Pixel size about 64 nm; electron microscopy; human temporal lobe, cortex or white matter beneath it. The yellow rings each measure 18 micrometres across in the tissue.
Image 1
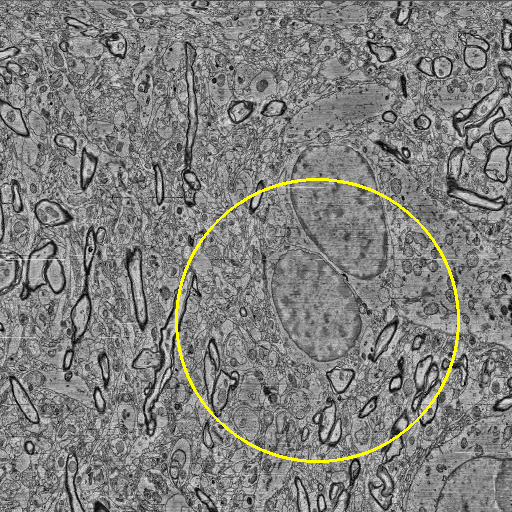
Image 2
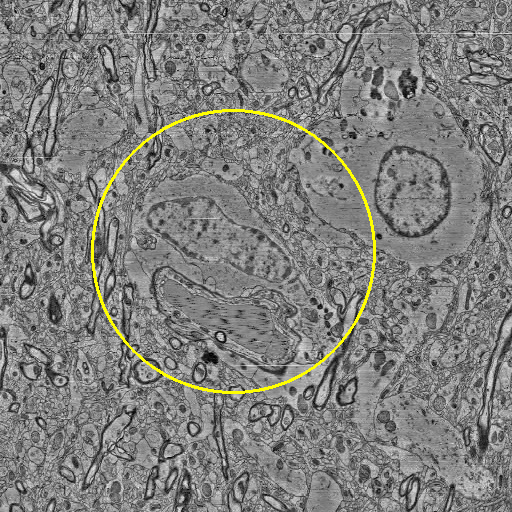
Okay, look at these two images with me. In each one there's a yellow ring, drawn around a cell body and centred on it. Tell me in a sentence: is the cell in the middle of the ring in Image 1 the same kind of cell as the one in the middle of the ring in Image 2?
No, they're two kinds of cell.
